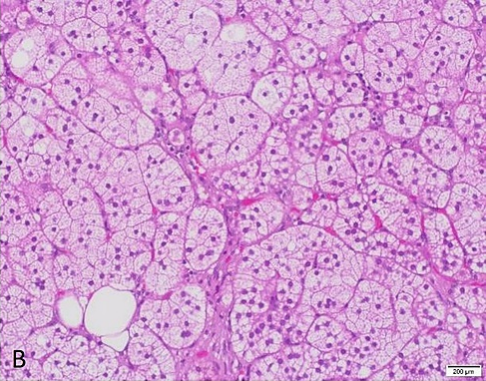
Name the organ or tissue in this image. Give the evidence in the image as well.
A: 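Adrenal cortical tissue. Polygonal cells with abundant clear, finely vacuolated cytoplasm. Cells arranged in nests separated by thin fibrovascular septa. Small round central nuclei.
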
